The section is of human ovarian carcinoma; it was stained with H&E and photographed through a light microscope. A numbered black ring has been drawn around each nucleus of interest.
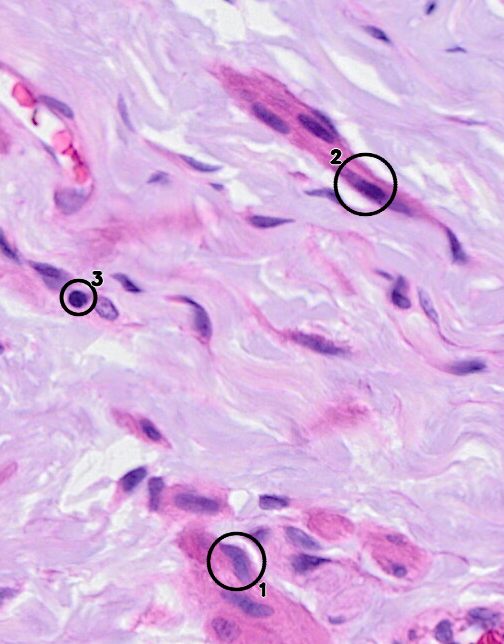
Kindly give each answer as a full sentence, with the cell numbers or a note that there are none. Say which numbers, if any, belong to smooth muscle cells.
Cells 1 and 2 in the section are typed as smooth muscle cells.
